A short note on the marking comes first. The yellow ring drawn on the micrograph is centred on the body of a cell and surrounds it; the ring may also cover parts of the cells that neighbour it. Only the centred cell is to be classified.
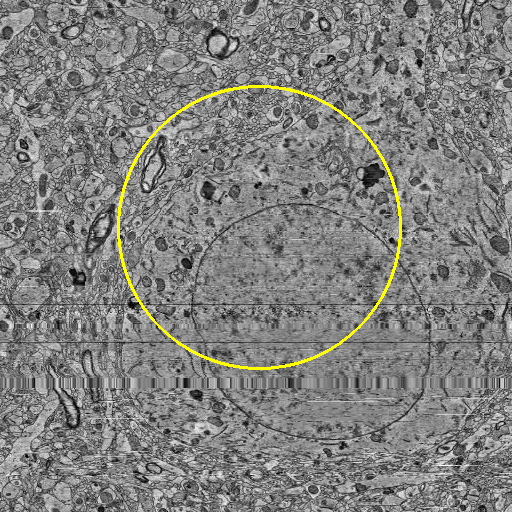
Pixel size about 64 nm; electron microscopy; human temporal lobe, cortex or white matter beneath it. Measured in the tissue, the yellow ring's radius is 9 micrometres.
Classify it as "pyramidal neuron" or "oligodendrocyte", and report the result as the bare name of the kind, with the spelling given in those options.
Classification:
pyramidal neuron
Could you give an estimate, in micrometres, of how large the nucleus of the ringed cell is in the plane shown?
In this plane, the nucleus measures approximately 16 micrometres across.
